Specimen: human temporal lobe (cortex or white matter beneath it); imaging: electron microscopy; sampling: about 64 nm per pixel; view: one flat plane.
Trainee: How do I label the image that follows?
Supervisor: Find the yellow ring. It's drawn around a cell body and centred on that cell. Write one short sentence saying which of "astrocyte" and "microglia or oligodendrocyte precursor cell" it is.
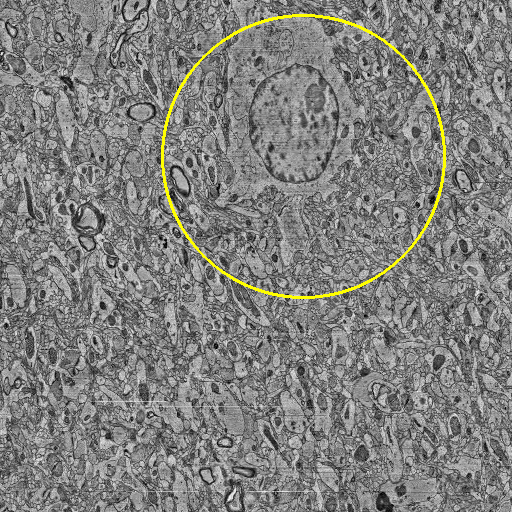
This is the cell body of an astrocyte.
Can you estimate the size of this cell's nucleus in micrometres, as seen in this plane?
Approximately 8 x 6 micrometres in this plane.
